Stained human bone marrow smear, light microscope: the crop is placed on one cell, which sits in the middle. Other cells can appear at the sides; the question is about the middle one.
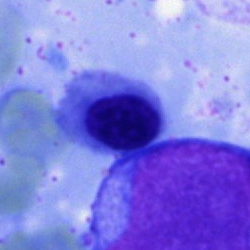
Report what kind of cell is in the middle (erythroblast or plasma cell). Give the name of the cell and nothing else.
erythroblast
